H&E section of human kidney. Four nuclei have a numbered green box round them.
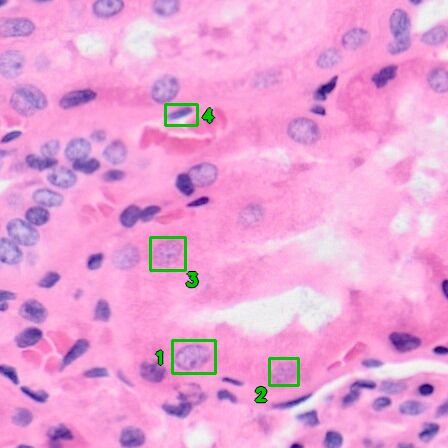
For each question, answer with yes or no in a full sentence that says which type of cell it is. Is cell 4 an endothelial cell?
Yes, looking at number 4, that cell is an endothelial cell.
